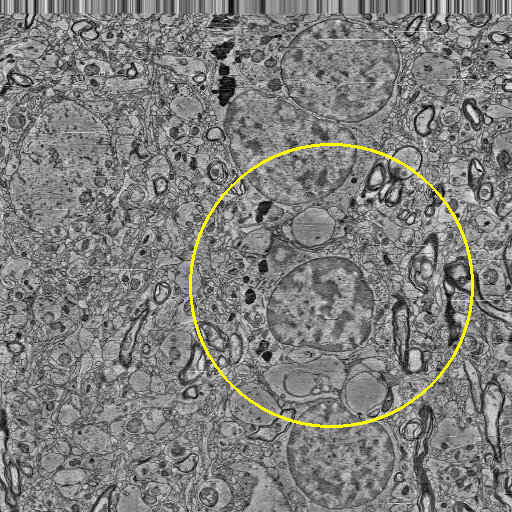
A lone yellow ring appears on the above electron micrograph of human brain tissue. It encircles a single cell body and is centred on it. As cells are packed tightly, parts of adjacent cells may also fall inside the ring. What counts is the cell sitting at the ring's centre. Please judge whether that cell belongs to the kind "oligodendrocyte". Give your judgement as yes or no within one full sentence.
No, the cell lying at the centre of the ring in the picture belongs to another kind.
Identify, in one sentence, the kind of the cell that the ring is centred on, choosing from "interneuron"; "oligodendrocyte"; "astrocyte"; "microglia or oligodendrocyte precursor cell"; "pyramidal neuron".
The ring's central cell is a microglial cell or oligodendrocyte precursor cell instead.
